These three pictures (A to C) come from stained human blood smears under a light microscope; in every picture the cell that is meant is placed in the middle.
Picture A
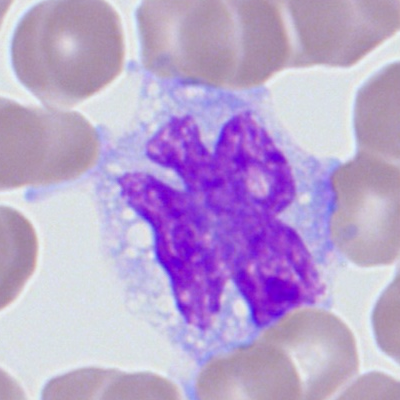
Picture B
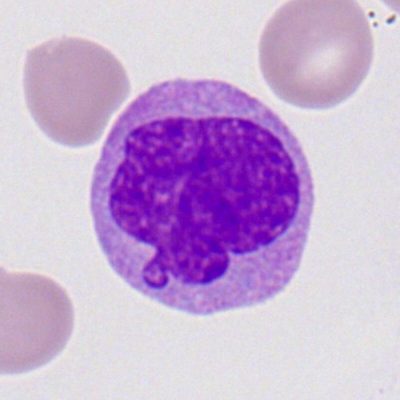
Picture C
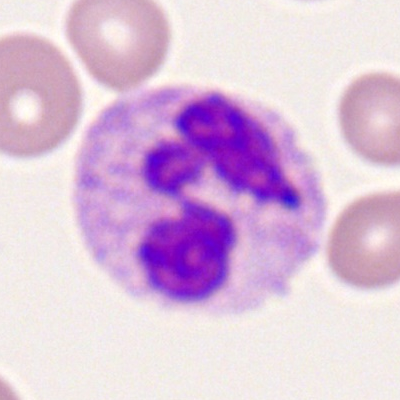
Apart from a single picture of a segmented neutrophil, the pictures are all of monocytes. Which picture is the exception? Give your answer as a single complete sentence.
Picture C shows the segmented neutrophil.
